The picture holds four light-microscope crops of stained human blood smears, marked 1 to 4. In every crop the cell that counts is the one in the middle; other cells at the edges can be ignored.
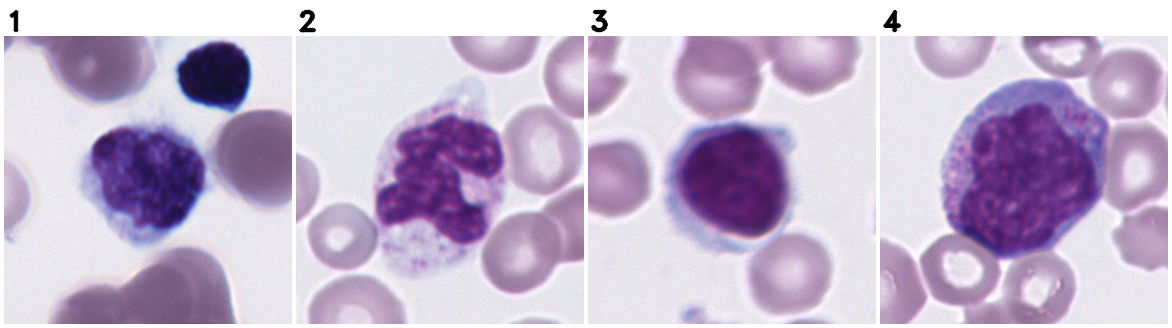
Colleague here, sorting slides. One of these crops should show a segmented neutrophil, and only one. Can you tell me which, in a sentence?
As for which crop shows a segmented neutrophil, it is crop 2.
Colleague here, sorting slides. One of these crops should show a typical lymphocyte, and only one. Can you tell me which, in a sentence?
The correct choice is crop 3, the one showing a typical lymphocyte.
